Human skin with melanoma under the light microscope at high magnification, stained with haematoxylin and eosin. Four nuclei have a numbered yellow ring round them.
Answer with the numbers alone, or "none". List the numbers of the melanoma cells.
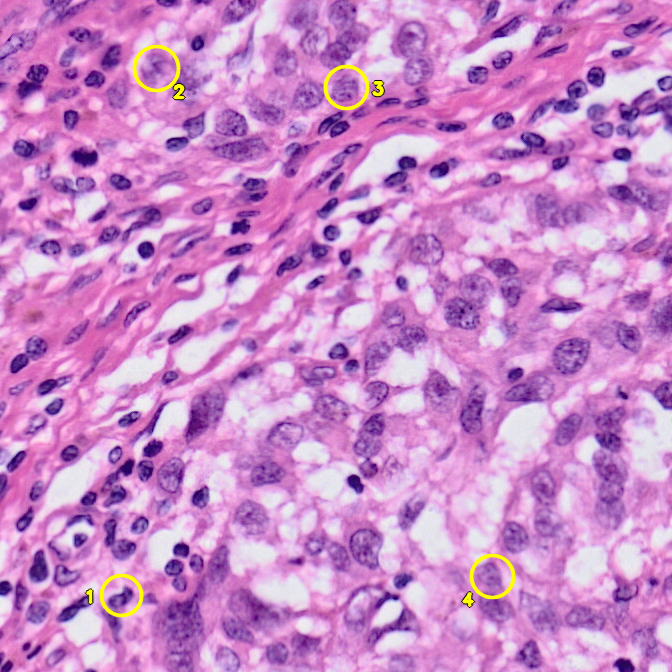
2, 3, 4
